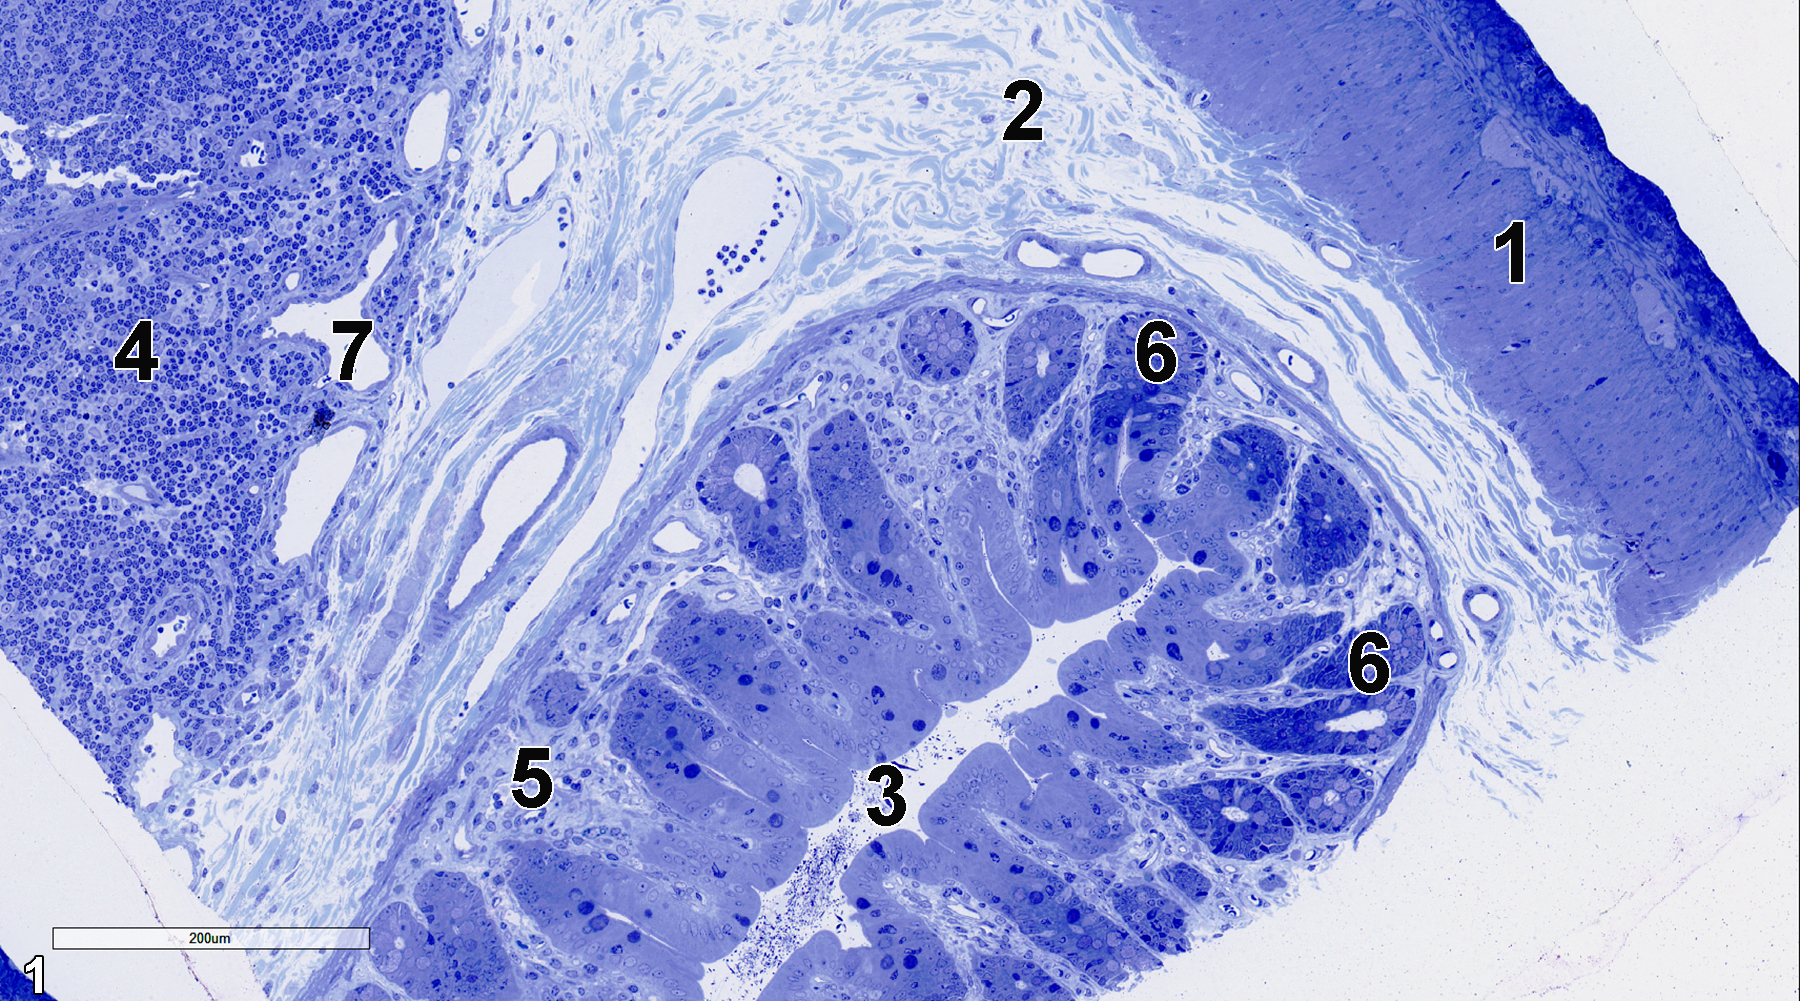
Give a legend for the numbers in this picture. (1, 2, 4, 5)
1 - tunica muscularis
2 - submucosa
4 - lymphoid nodules
5 - lamina propria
